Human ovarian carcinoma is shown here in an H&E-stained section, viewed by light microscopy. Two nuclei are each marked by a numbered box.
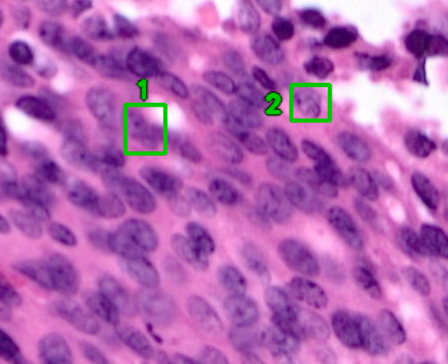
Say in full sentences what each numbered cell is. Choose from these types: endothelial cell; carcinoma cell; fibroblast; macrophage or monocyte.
Cell 1 is a carcinoma cell and cell 2 is a macrophage or monocyte.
